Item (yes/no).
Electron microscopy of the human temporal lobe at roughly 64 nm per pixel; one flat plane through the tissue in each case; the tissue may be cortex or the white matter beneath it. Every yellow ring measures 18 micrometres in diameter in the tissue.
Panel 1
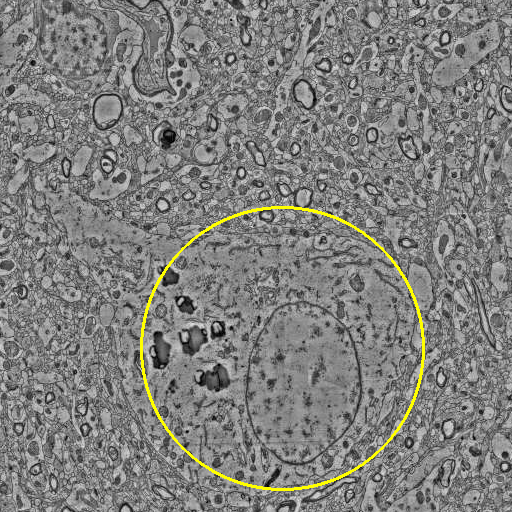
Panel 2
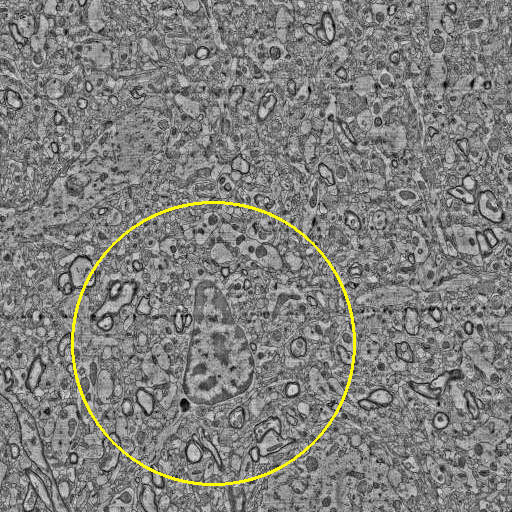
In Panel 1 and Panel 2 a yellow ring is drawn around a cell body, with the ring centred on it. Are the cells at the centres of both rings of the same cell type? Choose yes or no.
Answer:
no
